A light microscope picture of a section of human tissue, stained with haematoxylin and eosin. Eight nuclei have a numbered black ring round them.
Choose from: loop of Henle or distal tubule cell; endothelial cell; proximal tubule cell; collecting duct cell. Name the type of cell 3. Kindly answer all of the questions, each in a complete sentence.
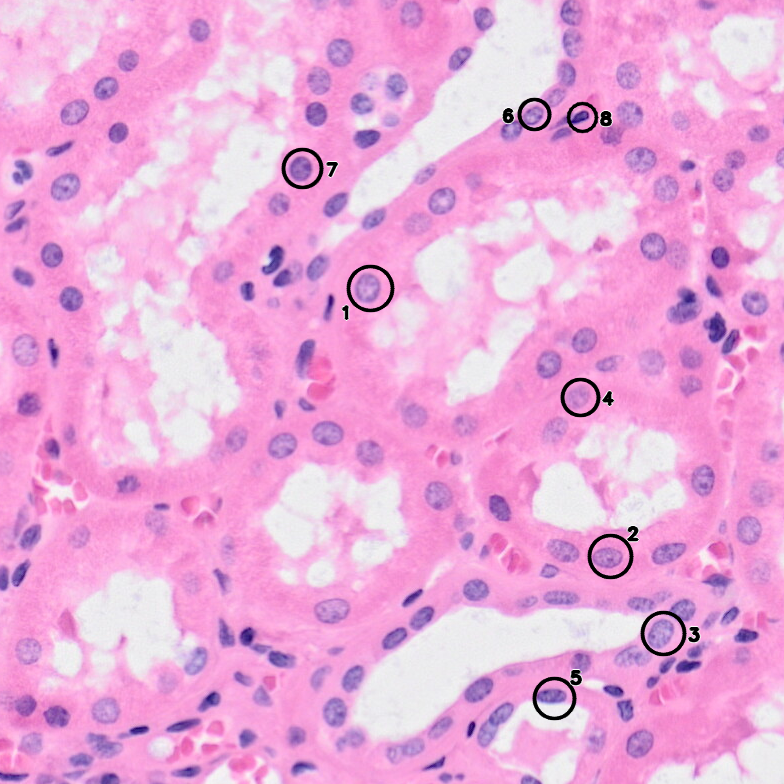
Among the marked cells, number 3 is a collecting duct cell.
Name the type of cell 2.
Numbered cell 2 is a proximal tubule cell in this tissue section.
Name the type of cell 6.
The cell marked with the number 6 is a collecting duct cell.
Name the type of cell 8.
Heads up, the cell numbered 8 is an endothelial cell.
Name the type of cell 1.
The marked cell bearing number 1 is a proximal tubule cell.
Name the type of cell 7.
Cell 7 is classified as a proximal tubule cell.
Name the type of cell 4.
Cell number 4 in this section is a proximal tubule cell.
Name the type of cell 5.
The cell indicated by marker 5 is a loop of Henle or distal tubule cell in this section.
